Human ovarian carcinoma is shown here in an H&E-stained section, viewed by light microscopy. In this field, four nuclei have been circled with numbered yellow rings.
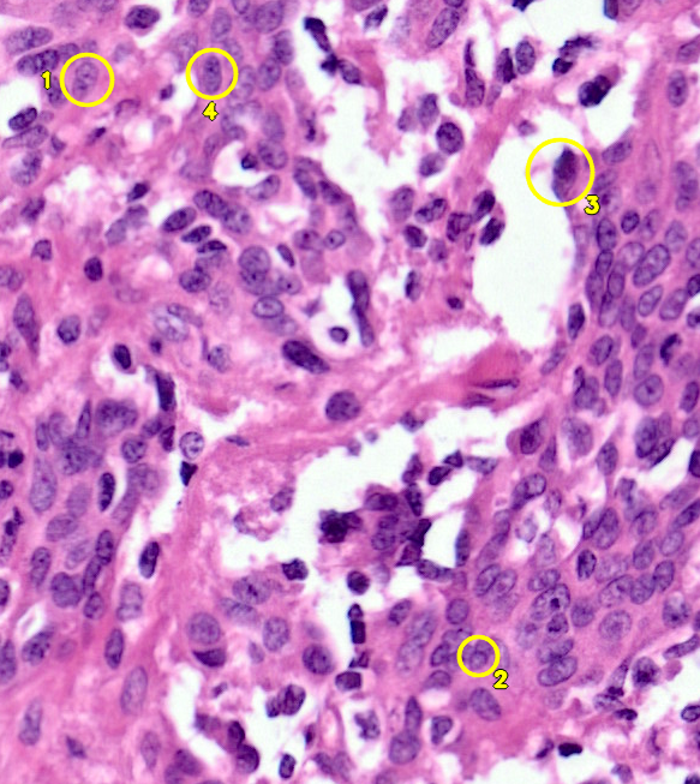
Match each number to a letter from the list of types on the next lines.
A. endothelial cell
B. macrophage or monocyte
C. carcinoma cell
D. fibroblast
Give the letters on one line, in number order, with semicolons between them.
C; C; C; B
